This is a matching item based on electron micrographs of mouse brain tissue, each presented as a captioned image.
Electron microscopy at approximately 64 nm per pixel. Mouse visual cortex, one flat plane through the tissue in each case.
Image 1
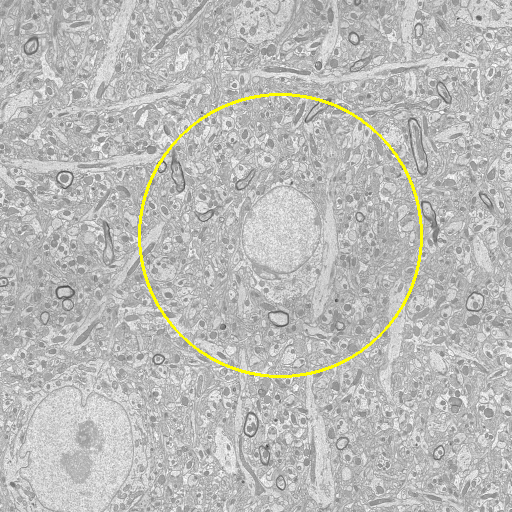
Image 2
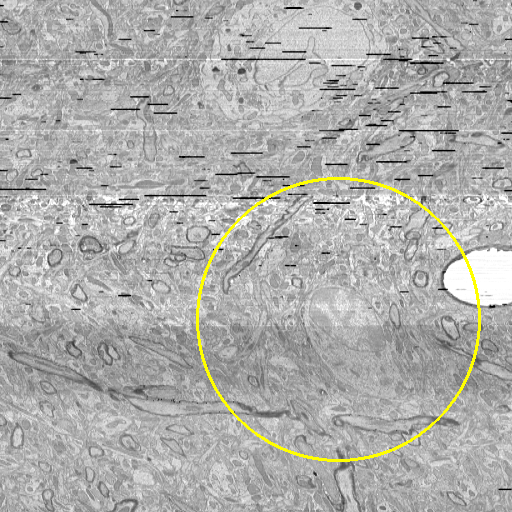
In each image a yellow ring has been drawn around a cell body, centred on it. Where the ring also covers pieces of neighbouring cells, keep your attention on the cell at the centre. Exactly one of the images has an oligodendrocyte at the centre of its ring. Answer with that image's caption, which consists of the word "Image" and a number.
Image 2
